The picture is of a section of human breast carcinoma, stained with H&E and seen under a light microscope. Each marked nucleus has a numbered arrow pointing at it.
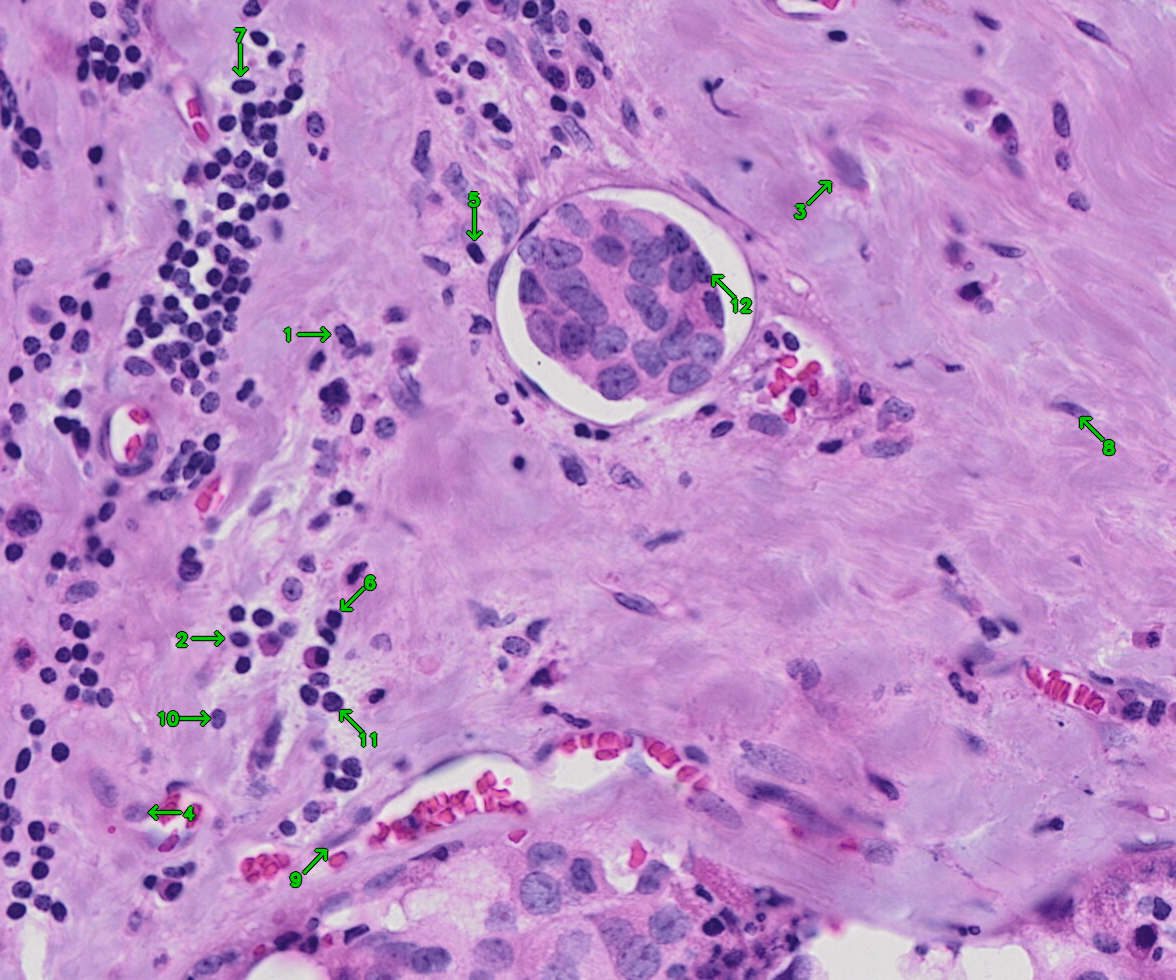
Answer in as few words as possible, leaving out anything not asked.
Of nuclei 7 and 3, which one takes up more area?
3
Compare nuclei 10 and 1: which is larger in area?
1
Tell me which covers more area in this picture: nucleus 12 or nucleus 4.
12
